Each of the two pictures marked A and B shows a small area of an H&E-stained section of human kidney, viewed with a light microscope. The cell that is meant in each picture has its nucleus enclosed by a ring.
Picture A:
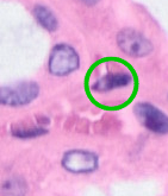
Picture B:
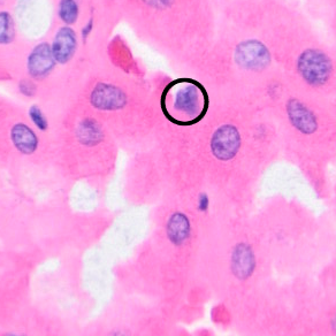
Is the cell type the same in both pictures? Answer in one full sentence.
Yes, the two pictures both show endothelial cells.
